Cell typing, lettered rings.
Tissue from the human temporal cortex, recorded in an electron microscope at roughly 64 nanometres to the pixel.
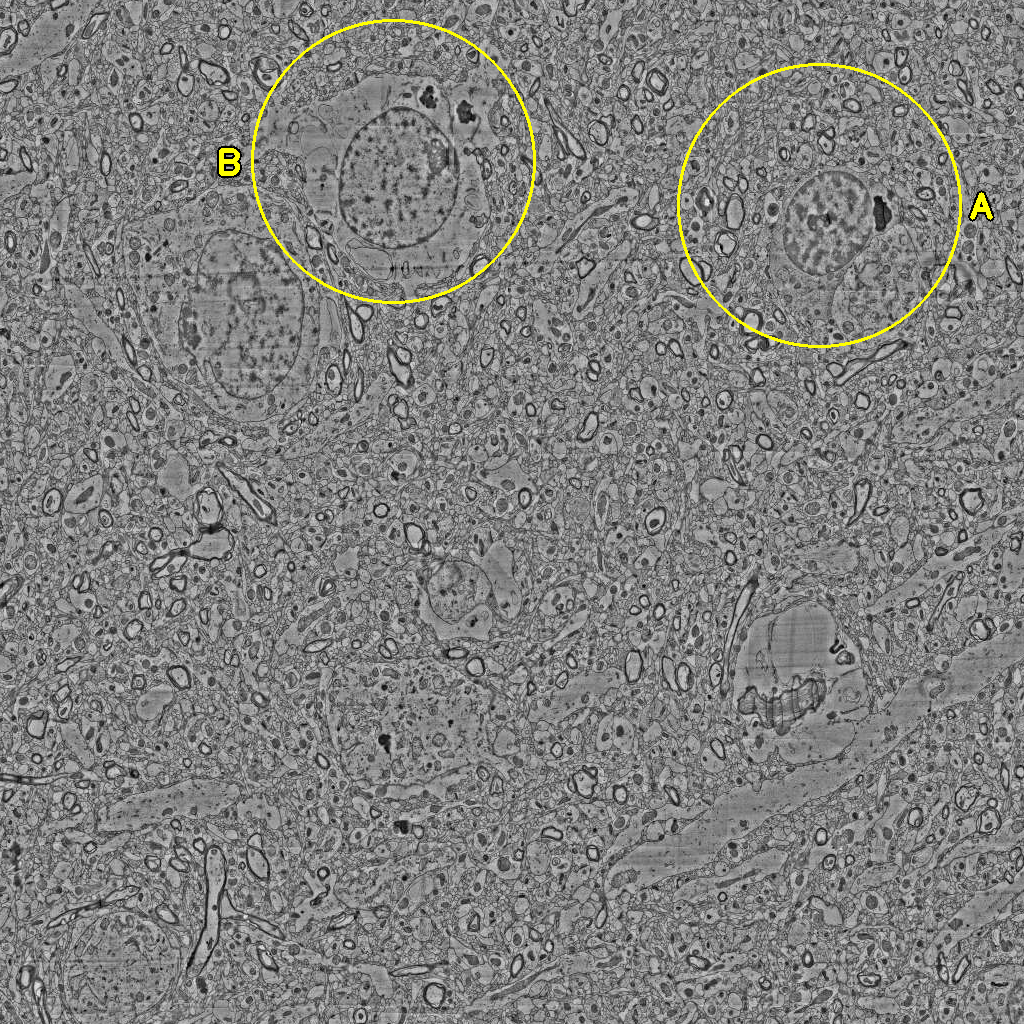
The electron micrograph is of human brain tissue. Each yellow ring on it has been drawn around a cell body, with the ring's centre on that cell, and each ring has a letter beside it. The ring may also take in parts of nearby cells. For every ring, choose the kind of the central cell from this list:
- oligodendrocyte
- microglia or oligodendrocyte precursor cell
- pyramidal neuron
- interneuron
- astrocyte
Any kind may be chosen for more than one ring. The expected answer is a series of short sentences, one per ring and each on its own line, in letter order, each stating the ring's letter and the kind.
For ring A, the centred cell is an oligodendrocyte.
For ring B, the centred cell is an astrocyte.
